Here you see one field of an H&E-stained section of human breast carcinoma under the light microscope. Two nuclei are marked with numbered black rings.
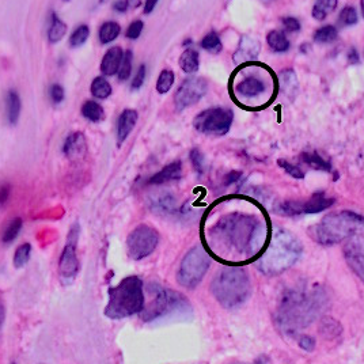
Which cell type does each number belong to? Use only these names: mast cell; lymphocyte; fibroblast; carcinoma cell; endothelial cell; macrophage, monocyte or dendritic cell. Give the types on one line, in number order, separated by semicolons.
lymphocyte; carcinoma cell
